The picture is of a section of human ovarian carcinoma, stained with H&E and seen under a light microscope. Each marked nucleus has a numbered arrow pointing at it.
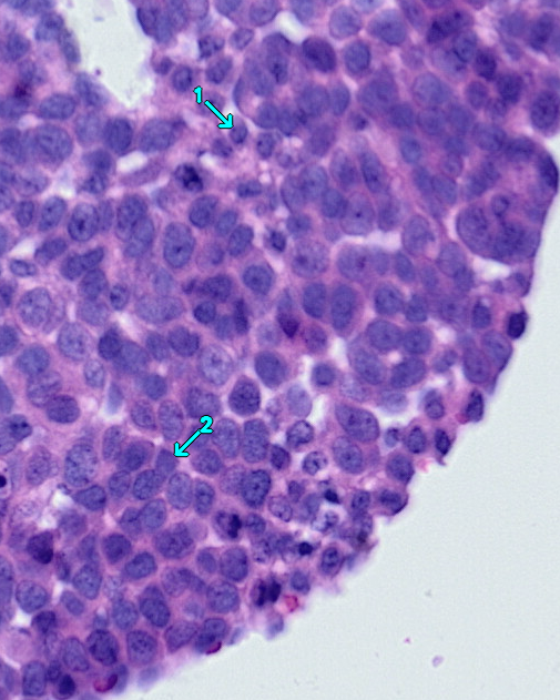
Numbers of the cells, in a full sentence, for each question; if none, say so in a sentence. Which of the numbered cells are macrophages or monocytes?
There is only one numbered cell that is a macrophage or monocyte, and it is cell 1.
